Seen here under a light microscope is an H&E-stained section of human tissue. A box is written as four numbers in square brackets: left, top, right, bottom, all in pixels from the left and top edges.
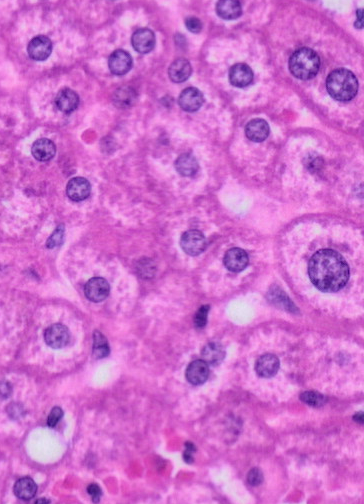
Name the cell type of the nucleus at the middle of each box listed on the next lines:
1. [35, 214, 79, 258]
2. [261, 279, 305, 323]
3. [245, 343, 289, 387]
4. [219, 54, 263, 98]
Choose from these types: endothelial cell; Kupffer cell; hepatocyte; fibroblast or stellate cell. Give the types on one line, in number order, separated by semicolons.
Kupffer cell; Kupffer cell; hepatocyte; hepatocyte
